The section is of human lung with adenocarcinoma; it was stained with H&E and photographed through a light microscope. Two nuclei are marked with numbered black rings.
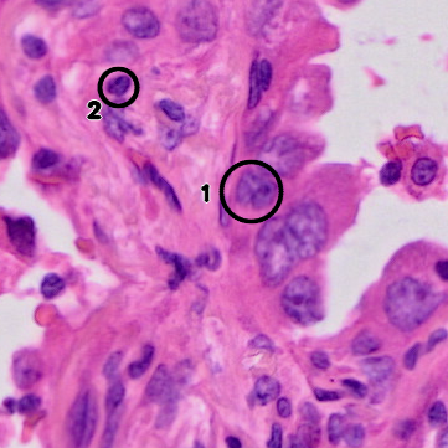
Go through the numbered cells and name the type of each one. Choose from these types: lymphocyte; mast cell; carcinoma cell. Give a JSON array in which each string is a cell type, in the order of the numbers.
["carcinoma cell", "lymphocyte"]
